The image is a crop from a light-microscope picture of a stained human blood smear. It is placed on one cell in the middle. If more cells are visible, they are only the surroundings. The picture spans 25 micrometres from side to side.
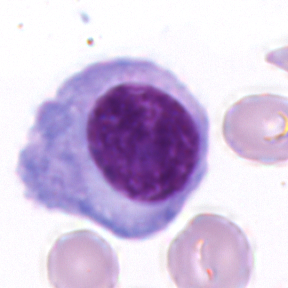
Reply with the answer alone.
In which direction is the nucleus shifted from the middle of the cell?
right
